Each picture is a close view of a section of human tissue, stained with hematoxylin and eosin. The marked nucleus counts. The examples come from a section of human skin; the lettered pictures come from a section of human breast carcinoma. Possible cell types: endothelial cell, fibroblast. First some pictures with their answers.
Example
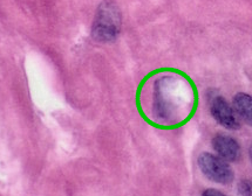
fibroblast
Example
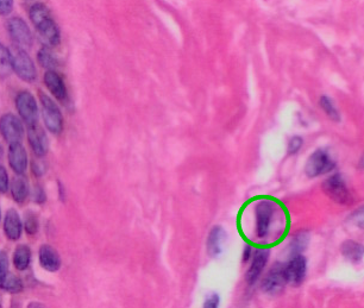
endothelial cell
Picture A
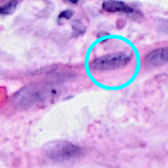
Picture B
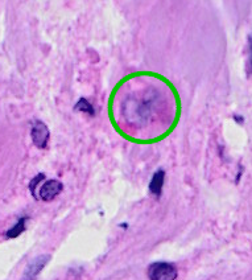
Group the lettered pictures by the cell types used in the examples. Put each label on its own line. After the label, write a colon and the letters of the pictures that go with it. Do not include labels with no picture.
endothelial cell: A, B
